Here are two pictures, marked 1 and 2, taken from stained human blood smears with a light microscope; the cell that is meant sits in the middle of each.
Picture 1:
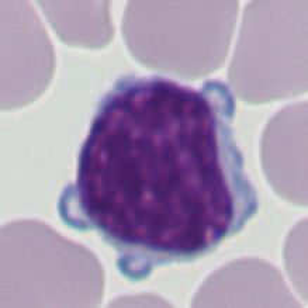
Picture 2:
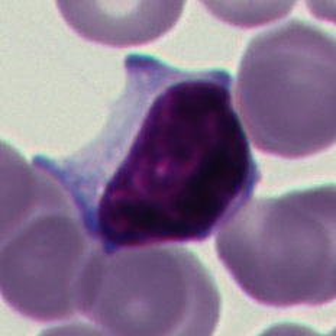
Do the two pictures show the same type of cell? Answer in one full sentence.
Yes; the cells in both pictures are typical lymphocytes.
